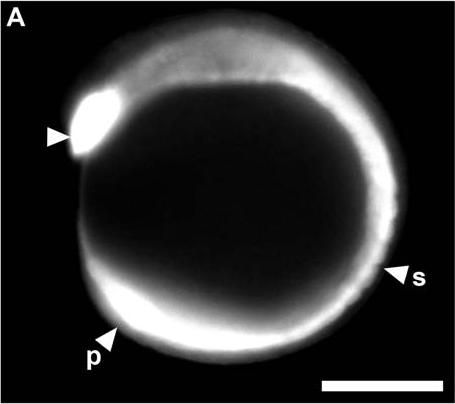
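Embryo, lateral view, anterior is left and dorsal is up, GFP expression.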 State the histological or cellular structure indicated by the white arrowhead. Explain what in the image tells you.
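A compact, very bright cell mass sits at the anterior edge of the embryo over the yolk.
Polster.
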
